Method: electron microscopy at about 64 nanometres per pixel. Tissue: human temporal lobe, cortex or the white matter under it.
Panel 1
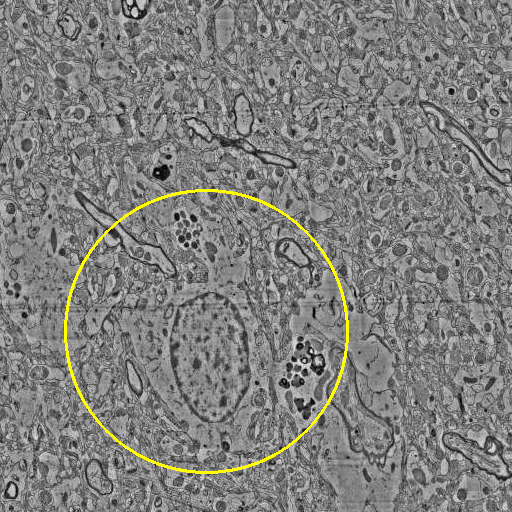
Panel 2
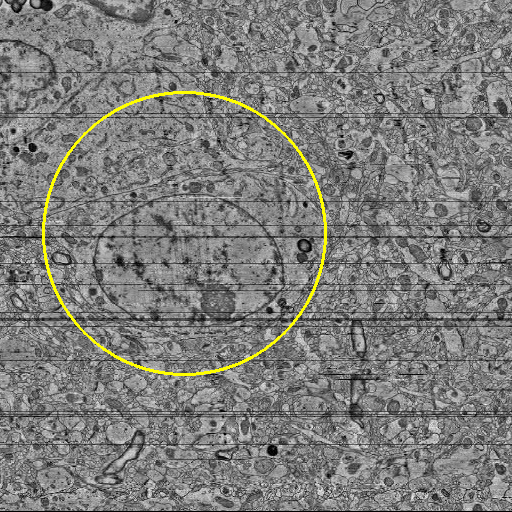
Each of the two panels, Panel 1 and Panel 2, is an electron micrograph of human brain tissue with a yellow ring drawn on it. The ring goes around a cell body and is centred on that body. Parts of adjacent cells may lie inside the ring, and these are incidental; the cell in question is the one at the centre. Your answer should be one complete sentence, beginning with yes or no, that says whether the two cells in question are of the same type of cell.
No, the two cells are of two types.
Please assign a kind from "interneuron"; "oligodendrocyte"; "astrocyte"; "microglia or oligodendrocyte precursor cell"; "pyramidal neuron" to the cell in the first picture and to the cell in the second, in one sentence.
In the first picture we have an astrocyte, and in the second, a pyramidal neuron.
